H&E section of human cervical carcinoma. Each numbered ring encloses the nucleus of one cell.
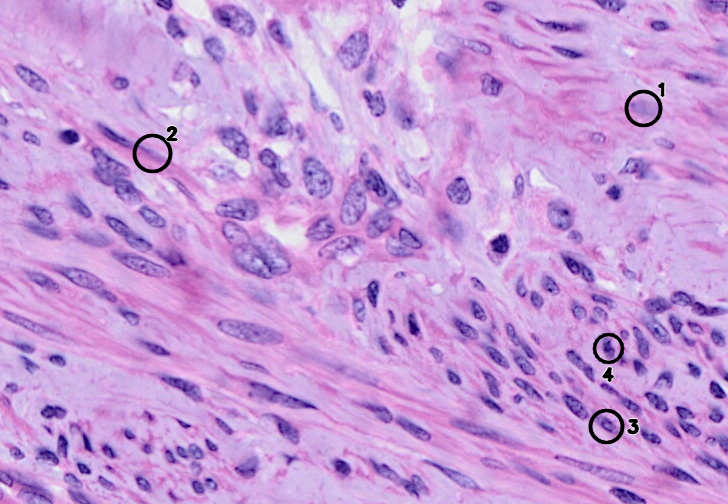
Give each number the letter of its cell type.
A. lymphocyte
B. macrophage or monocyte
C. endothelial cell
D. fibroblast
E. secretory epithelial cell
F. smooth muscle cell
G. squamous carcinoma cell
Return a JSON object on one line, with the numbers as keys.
{"1": "F", "2": "C", "3": "F", "4": "F"}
